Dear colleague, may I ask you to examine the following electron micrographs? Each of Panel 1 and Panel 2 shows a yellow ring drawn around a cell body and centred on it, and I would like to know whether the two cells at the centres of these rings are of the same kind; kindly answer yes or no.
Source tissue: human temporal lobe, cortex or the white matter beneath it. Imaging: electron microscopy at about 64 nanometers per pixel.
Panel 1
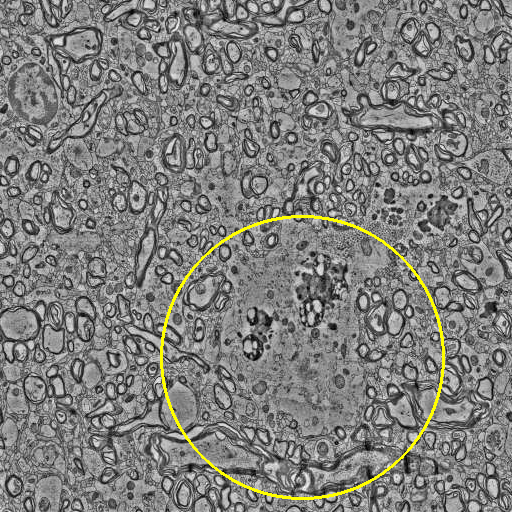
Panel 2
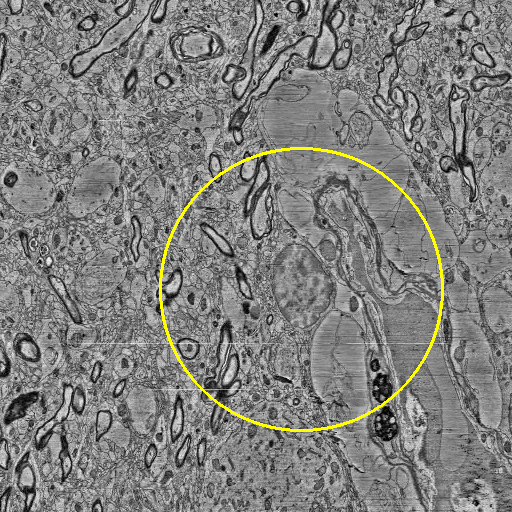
no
